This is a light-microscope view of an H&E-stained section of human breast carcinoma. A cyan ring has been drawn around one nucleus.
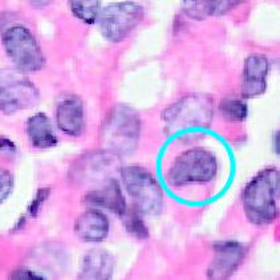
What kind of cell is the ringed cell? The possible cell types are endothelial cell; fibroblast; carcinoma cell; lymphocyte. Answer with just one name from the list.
carcinoma cell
